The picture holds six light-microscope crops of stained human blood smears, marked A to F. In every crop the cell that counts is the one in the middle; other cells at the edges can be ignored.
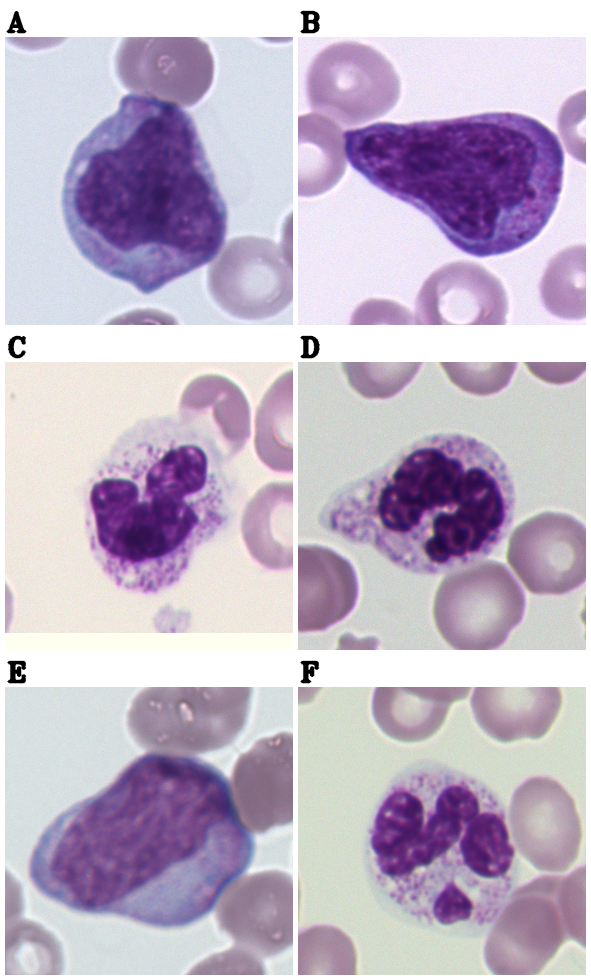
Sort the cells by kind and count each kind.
atypical promyelocyte: 3
segmented neutrophil: 3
